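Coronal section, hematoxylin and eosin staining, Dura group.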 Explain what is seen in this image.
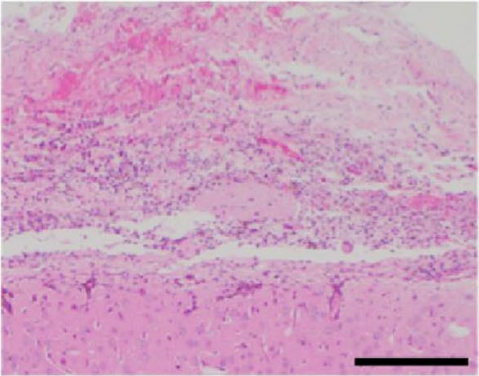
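The upper part of that layer is loose and pink, with patches of bright red material. Between it and the cortex runs a dense band crowded with small, dark purple nuclei, split by several clear clefts. The cortex below is pale pink with scattered nuclei and a few small vessels entering from the surface.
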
